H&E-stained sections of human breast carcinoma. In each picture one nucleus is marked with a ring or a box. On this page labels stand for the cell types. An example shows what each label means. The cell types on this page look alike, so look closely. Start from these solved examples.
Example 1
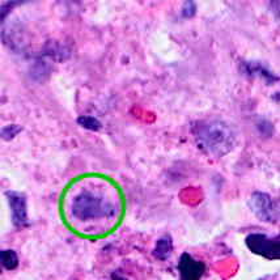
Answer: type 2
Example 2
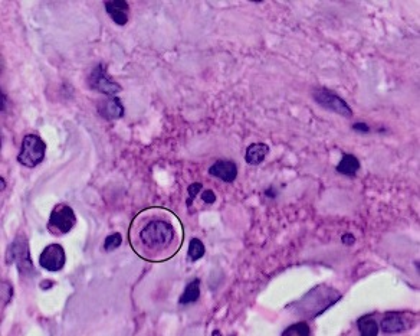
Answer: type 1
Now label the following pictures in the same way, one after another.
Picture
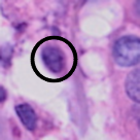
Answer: type 2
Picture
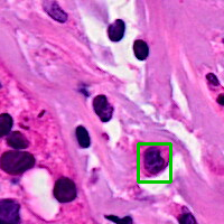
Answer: type 1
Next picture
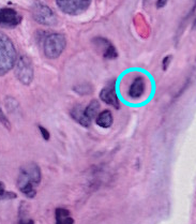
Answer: type 1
